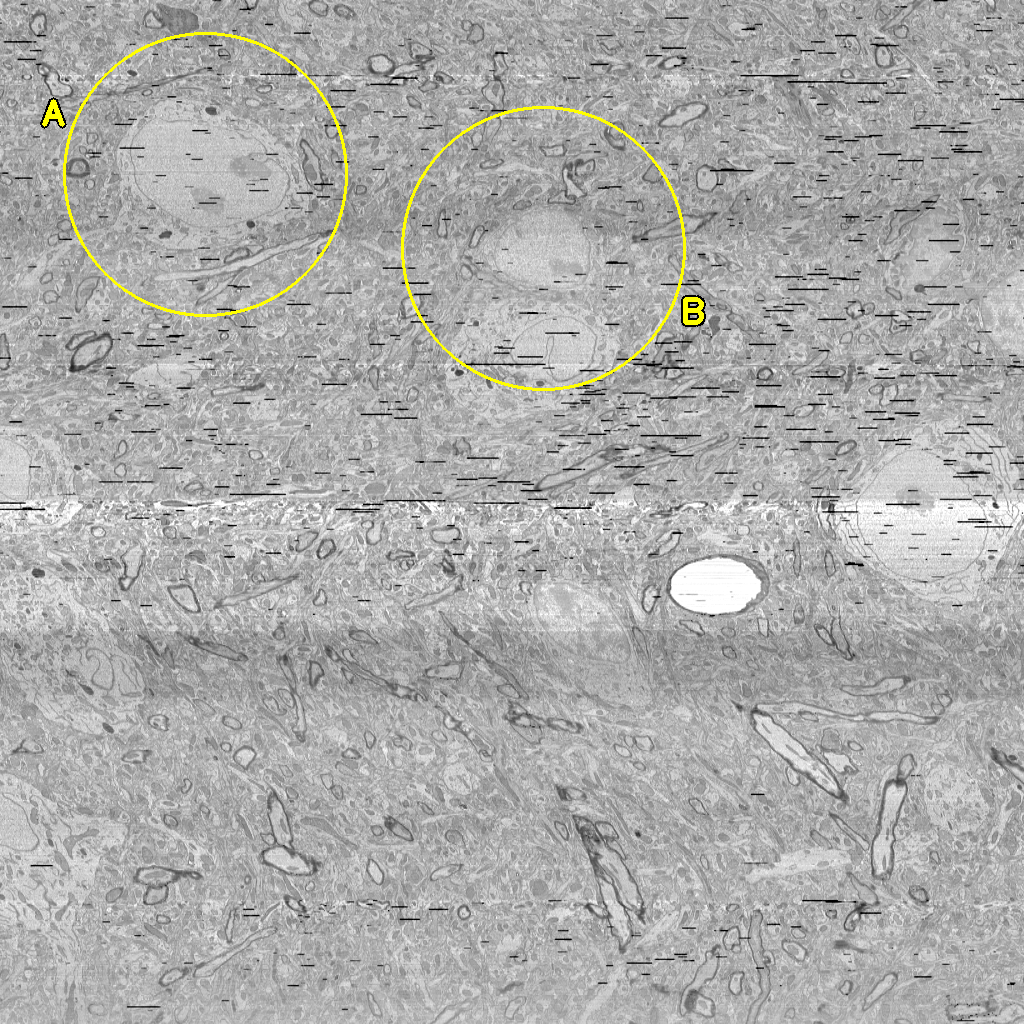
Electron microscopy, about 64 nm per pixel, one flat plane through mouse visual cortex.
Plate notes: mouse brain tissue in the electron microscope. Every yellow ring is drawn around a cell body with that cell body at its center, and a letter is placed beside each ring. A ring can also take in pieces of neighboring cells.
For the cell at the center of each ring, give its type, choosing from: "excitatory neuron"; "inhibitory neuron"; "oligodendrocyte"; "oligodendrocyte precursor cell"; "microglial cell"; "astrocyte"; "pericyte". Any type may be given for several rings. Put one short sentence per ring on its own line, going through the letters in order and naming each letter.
Ring A shows an excitatory neuron at the center.
Ring B shows an astrocyte at the center.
